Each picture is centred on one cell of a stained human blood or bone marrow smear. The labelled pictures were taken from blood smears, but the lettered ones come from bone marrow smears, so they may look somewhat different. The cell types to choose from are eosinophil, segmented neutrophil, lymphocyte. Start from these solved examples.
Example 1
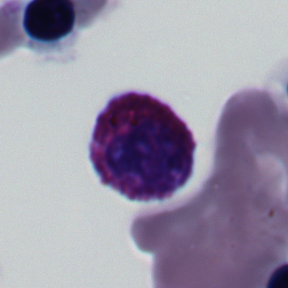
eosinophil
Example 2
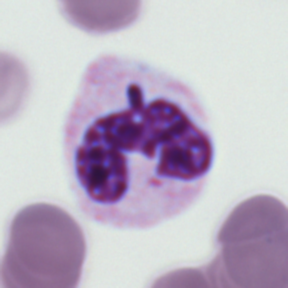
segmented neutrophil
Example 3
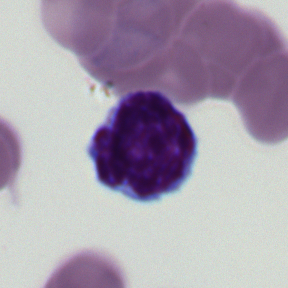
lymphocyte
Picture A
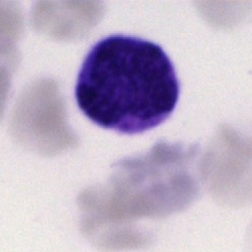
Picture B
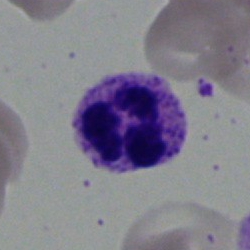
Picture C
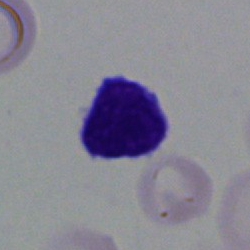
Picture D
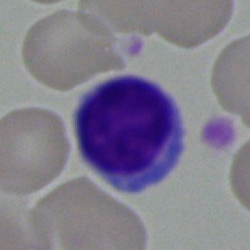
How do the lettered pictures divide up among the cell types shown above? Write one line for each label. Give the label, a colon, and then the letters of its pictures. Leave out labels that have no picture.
segmented neutrophil: B
lymphocyte: A, C, D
